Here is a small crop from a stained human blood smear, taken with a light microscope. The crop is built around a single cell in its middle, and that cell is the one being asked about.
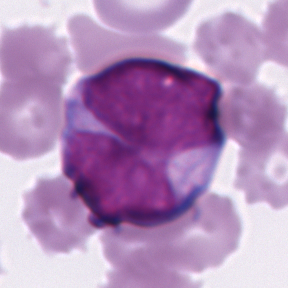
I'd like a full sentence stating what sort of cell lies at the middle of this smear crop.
As for the cell in the middle, it is a blast.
